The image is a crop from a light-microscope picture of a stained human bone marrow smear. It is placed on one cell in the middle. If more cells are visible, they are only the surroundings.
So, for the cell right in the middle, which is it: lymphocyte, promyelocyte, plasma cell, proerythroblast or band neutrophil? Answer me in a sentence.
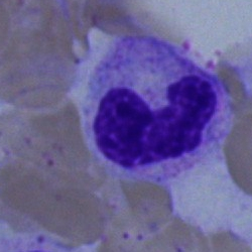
The cell nearest the centre of this crop is a band neutrophil.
